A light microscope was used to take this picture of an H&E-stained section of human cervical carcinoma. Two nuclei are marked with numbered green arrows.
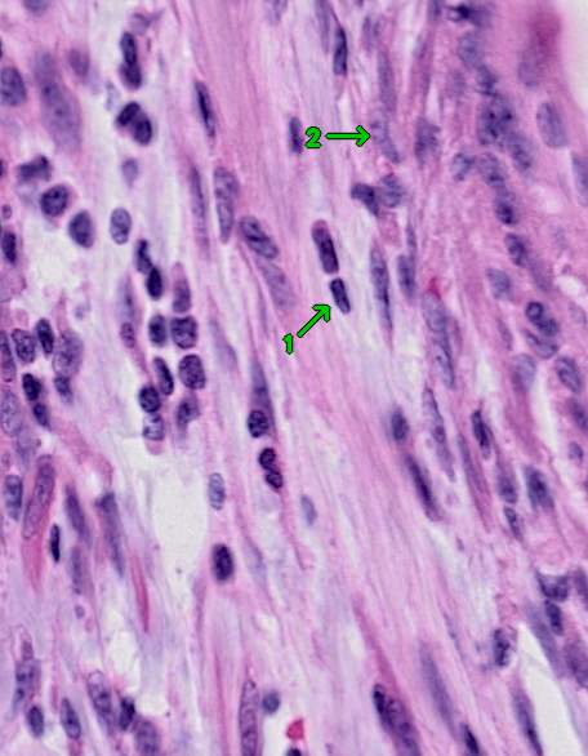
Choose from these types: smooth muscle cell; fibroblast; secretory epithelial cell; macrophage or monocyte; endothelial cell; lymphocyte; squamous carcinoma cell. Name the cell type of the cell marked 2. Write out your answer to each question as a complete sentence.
The cell that bears the number 2 is an endothelial cell.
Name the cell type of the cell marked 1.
The expected answer is that cell 1 is a lymphocyte.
